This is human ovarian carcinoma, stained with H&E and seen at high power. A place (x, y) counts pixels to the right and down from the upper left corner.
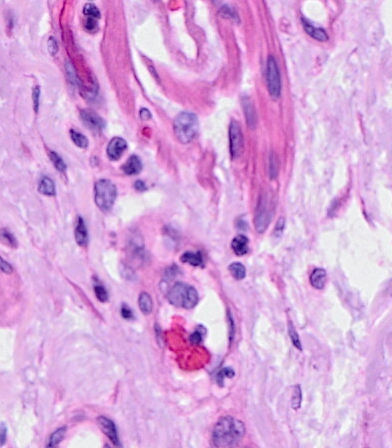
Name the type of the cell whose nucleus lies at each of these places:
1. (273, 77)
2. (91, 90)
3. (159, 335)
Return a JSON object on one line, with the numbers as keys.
{"1": "smooth muscle cell", "2": "endothelial cell", "3": "endothelial cell"}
